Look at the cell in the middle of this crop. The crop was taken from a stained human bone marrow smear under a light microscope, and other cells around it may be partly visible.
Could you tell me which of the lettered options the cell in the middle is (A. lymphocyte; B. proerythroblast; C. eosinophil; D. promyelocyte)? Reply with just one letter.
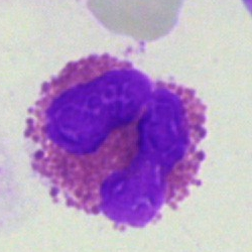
C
